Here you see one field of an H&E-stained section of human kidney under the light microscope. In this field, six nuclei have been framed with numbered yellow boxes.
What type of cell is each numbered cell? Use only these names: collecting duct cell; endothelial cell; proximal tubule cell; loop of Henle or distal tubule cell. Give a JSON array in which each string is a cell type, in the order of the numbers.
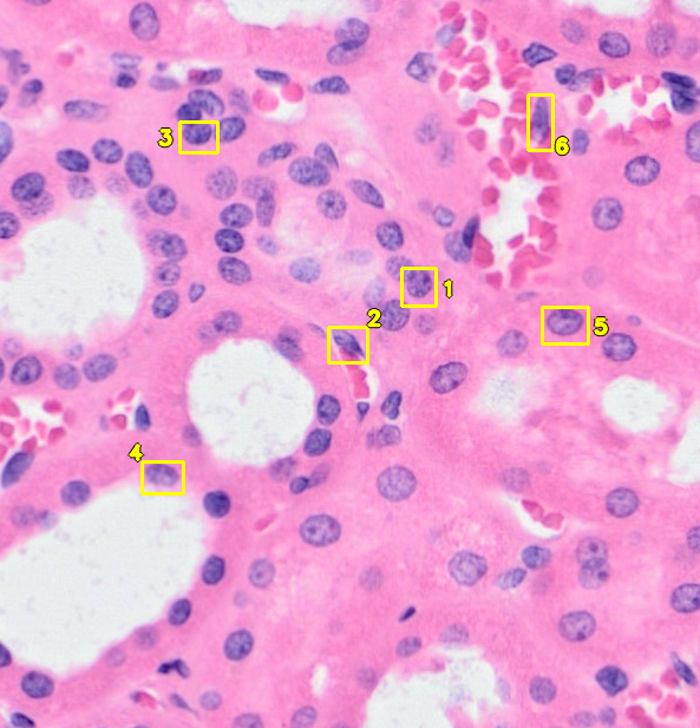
["collecting duct cell", "endothelial cell", "collecting duct cell", "loop of Henle or distal tubule cell", "proximal tubule cell", "endothelial cell"]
